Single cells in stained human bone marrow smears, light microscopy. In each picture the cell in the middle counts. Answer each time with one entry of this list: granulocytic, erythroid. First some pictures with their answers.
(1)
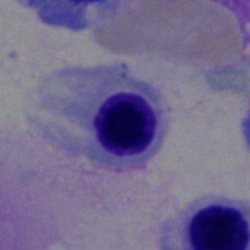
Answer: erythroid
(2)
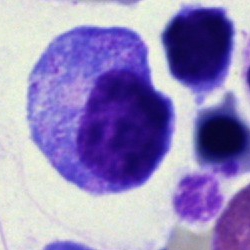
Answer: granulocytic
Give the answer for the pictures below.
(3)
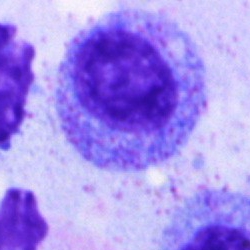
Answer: granulocytic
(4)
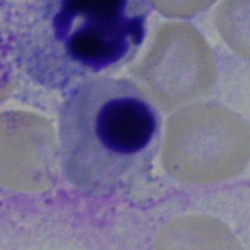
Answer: erythroid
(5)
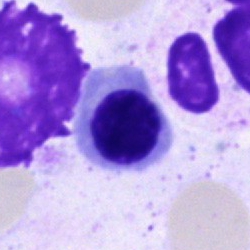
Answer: erythroid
